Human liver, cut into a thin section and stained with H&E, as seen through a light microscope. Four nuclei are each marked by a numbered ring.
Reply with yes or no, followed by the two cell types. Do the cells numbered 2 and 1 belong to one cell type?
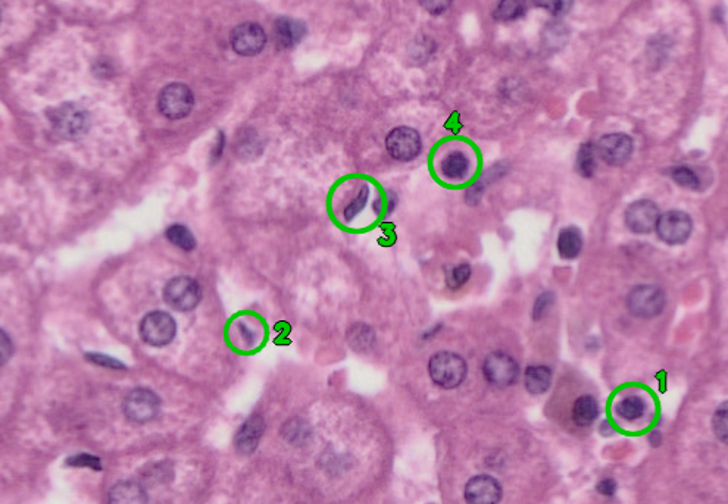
No, cell 2 is an endothelial cell, whereas a lymphocyte is what cell 1 is.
